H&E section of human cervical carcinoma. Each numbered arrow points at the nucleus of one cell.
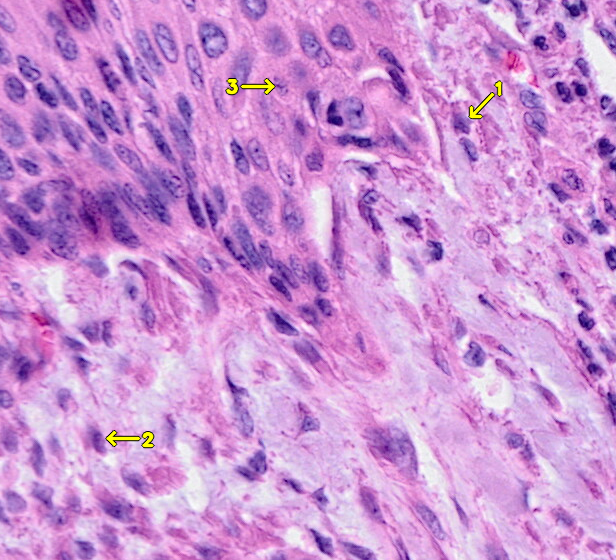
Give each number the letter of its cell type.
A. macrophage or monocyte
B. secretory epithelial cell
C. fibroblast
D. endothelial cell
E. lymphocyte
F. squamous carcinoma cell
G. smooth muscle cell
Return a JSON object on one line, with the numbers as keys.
{"1": "C", "2": "C", "3": "F"}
